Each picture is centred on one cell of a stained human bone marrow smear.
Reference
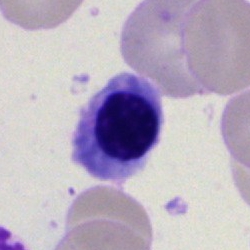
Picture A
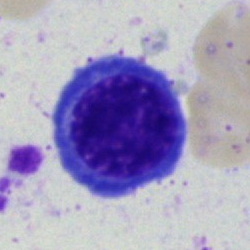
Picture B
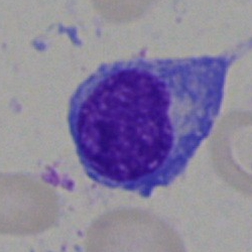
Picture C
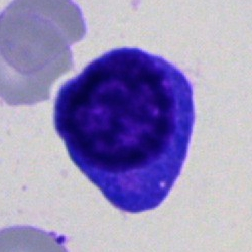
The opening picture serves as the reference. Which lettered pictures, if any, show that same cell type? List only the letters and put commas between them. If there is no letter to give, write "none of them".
A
